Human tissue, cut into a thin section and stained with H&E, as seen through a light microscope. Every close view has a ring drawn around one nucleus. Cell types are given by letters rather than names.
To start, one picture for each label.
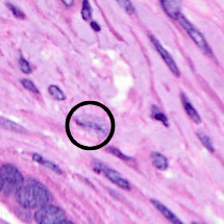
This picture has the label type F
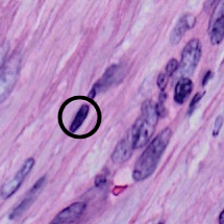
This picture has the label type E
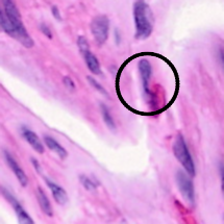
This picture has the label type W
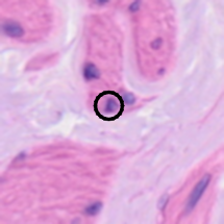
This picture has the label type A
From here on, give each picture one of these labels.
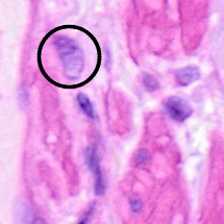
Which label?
type F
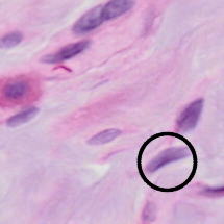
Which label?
type F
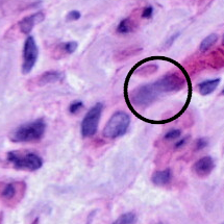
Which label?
type W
